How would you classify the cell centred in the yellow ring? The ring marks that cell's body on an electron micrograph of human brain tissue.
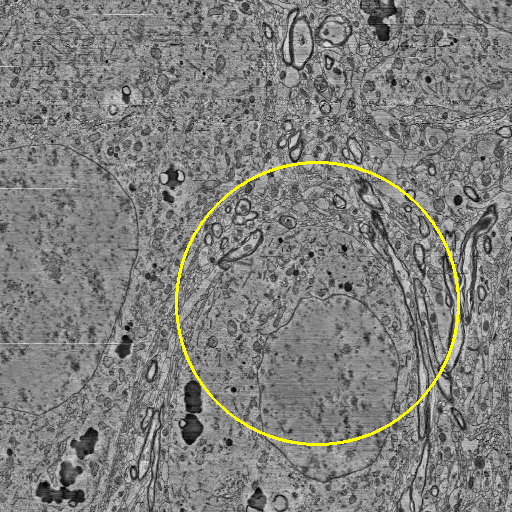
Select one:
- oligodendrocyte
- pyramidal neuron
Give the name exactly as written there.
pyramidal neuron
